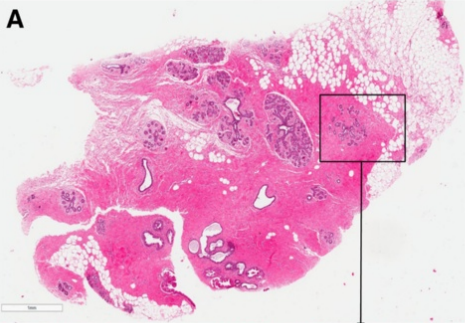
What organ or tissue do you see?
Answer: breast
